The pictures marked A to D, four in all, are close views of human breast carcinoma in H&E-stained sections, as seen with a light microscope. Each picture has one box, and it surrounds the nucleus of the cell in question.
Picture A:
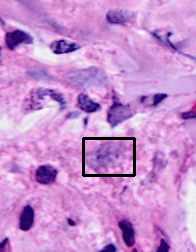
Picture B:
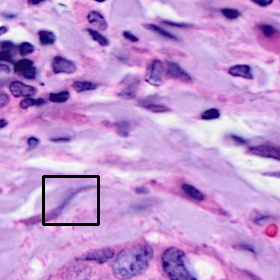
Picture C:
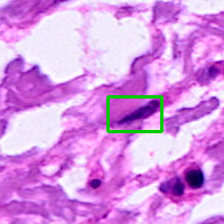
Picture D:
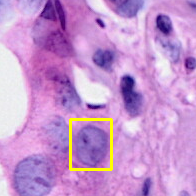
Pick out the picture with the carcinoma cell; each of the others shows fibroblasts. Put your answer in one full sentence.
It is picture D that shows the carcinoma cell.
